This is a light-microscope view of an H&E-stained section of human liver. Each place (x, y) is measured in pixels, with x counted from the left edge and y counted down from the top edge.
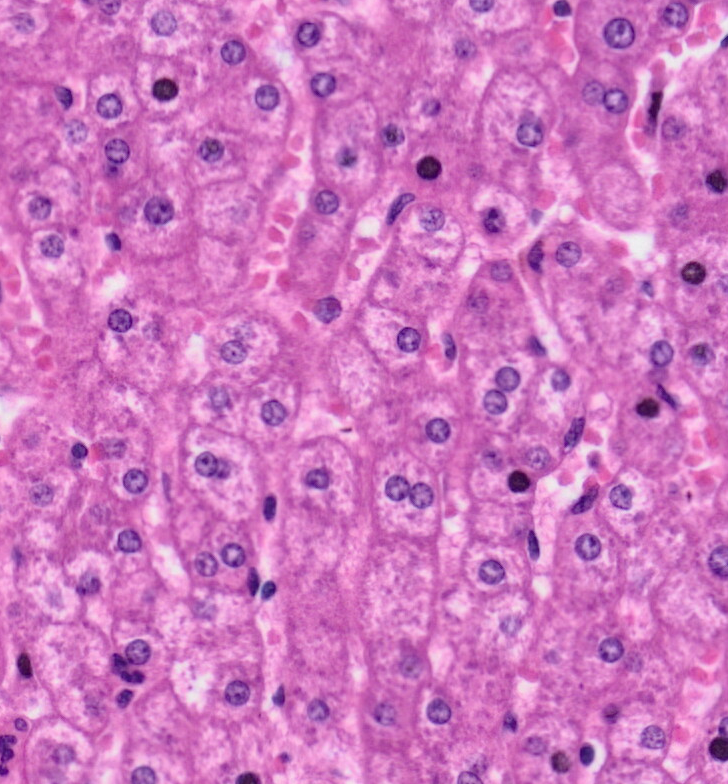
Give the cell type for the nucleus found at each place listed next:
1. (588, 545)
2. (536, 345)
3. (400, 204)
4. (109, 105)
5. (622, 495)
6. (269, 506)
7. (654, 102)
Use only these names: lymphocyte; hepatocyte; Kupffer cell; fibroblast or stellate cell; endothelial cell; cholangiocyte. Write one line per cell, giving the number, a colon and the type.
1: hepatocyte
2: endothelial cell
3: Kupffer cell
4: hepatocyte
5: hepatocyte
6: lymphocyte
7: Kupffer cell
